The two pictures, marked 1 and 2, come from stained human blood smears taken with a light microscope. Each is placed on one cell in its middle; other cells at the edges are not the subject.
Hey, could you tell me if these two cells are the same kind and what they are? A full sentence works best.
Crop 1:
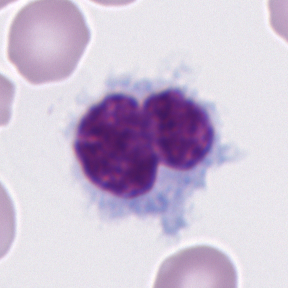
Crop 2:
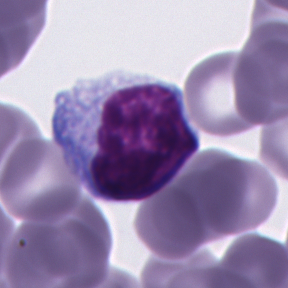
No, crop 1 offers a hairy cell, while crop 2 offers a typical lymphocyte.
